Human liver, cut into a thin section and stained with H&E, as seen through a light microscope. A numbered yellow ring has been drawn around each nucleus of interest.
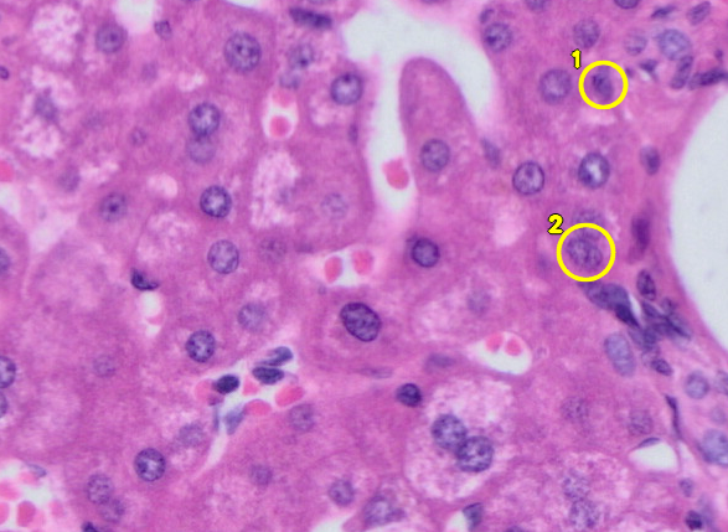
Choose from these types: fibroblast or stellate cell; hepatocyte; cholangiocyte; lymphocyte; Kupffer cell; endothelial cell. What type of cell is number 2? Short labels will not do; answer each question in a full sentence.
Cell 2, among those numbered, is a hepatocyte.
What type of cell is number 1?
The label 1 in this section denotes a fibroblast or stellate cell.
